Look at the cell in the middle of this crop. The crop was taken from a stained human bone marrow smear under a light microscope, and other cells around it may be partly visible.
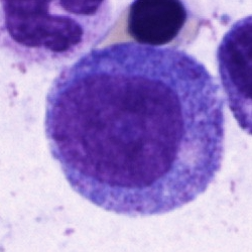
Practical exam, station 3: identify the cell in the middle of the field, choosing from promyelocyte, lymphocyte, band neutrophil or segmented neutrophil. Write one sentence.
The single cell at the center of the crop is a promyelocyte.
